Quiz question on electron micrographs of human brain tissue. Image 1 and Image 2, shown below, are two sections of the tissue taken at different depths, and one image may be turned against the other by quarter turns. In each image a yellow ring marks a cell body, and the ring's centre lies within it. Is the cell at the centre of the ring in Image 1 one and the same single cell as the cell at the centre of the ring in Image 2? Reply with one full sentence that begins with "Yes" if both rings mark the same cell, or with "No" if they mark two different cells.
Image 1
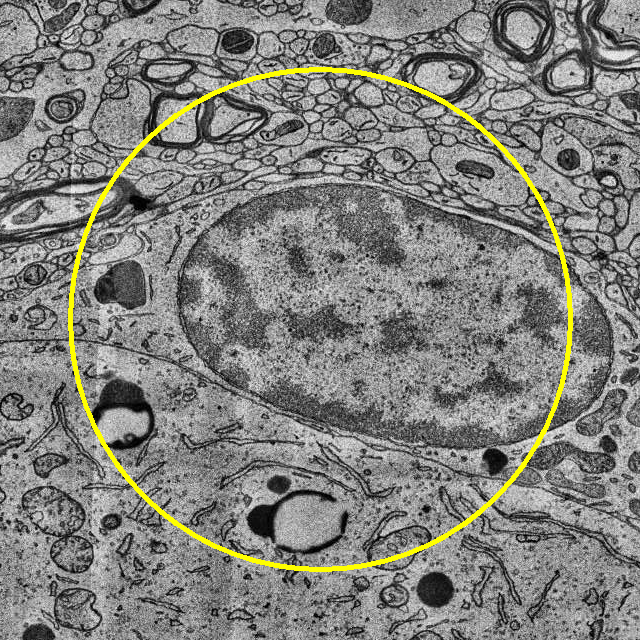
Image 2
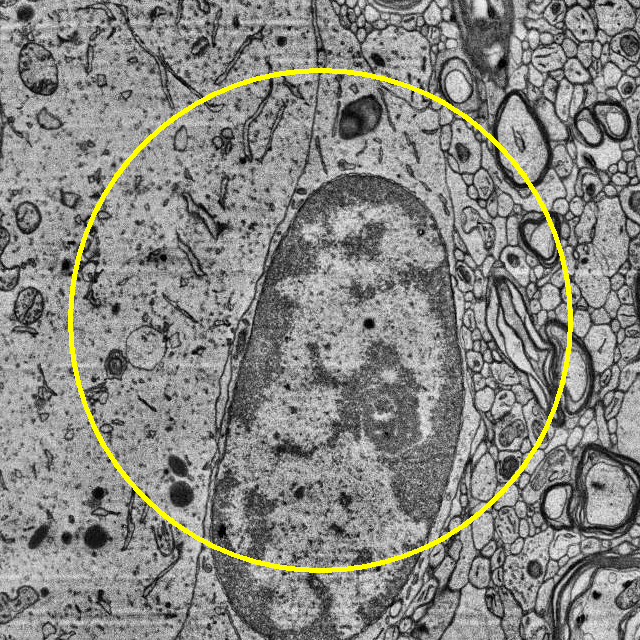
Yes, the same cell turns up inside each of the two rings.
